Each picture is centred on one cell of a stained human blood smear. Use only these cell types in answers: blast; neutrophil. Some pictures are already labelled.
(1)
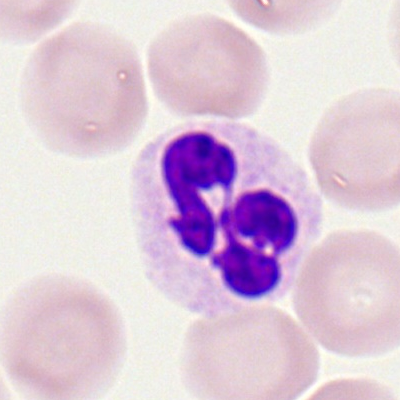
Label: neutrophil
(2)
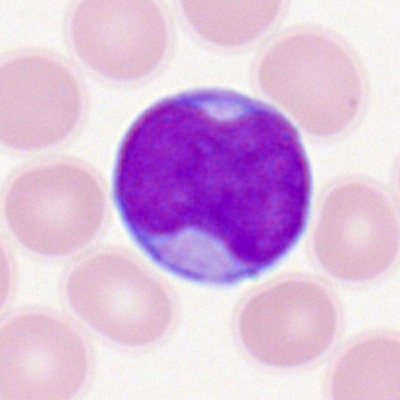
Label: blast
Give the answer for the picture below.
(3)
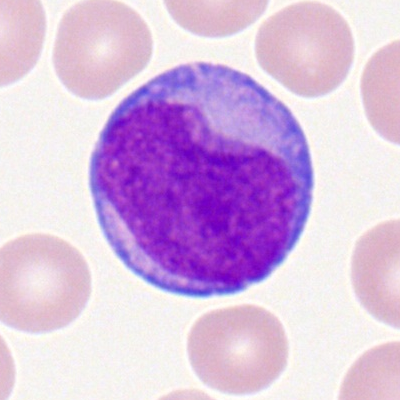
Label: blast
